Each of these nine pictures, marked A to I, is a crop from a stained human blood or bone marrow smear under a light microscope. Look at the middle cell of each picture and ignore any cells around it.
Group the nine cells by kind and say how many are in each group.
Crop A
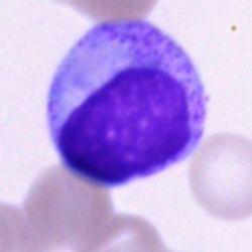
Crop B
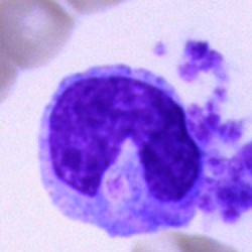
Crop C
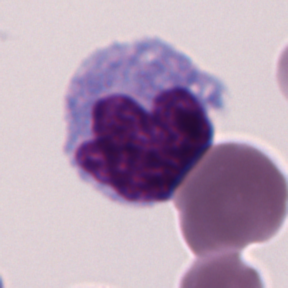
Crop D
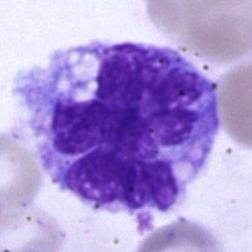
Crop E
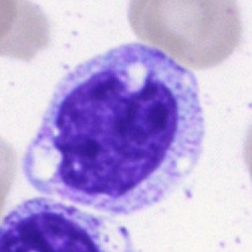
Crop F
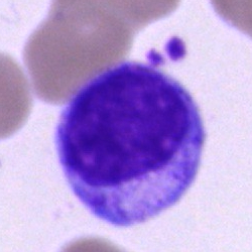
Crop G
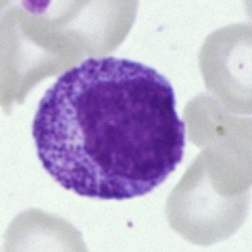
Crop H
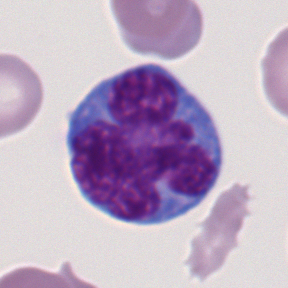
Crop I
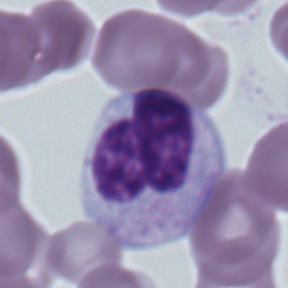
myelocyte: 4
monocyte: 4
segmented neutrophil: 1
